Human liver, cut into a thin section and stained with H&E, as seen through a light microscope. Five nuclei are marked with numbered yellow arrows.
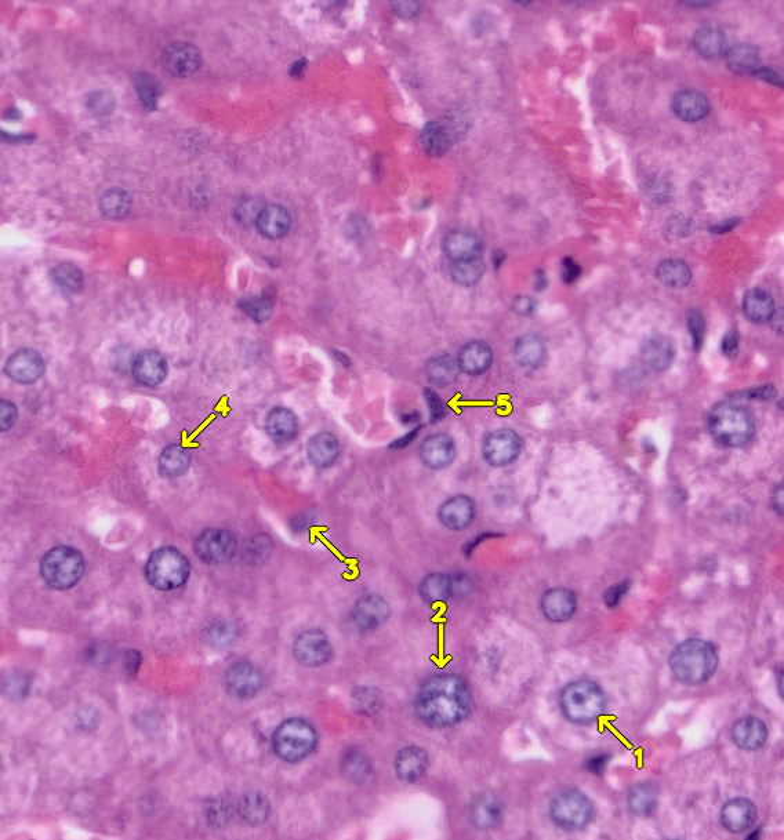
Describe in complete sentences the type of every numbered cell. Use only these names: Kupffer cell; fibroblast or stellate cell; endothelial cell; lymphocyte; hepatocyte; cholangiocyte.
Cells 1, 2 and 4 are hepatocytes. Cell 3 is a Kupffer cell. Cell 5 is a fibroblast or stellate cell.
